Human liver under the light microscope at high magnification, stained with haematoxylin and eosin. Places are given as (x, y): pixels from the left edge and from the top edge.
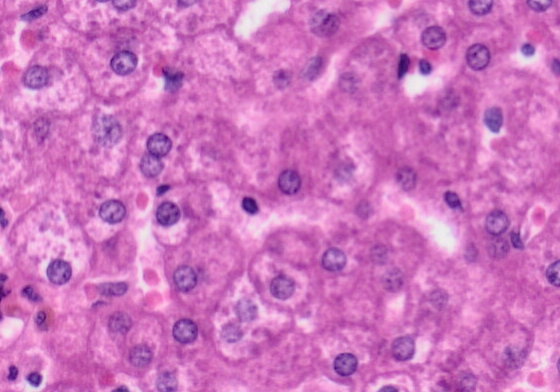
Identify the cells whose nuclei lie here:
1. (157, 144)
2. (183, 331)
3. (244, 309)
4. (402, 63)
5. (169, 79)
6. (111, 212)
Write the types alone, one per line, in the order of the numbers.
hepatocyte
hepatocyte
hepatocyte
fibroblast or stellate cell
endothelial cell
hepatocyte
